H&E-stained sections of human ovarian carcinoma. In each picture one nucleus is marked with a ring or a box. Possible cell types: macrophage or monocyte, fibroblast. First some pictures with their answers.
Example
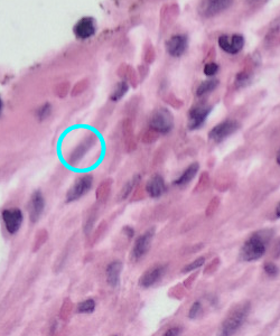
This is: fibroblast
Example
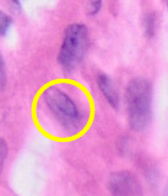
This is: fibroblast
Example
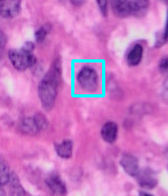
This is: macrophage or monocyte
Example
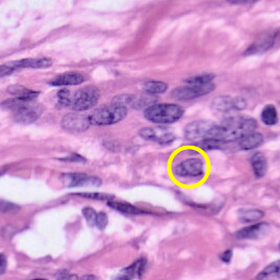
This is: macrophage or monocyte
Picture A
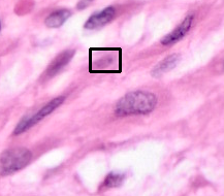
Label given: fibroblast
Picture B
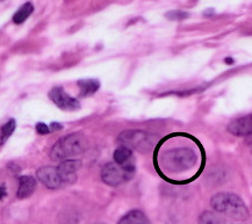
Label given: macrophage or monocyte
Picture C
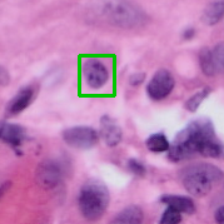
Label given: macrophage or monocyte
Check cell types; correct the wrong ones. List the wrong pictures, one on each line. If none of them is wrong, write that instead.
Nothing to fix; every label fits.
